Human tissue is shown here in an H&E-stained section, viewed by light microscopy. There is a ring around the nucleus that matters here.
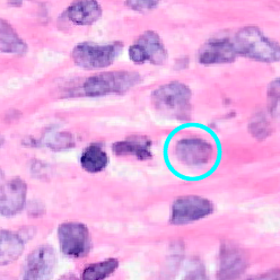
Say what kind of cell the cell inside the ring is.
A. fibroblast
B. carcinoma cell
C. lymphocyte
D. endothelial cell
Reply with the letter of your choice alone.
B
